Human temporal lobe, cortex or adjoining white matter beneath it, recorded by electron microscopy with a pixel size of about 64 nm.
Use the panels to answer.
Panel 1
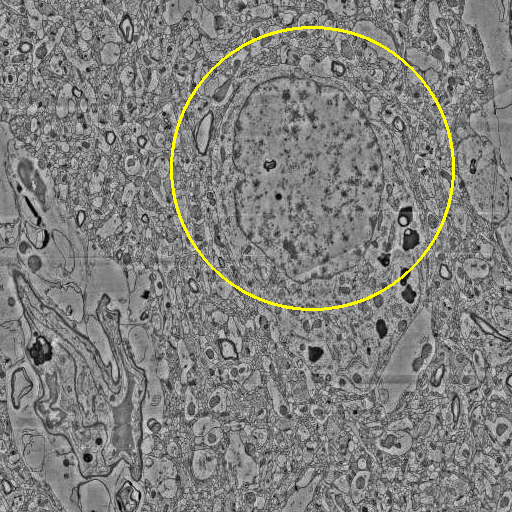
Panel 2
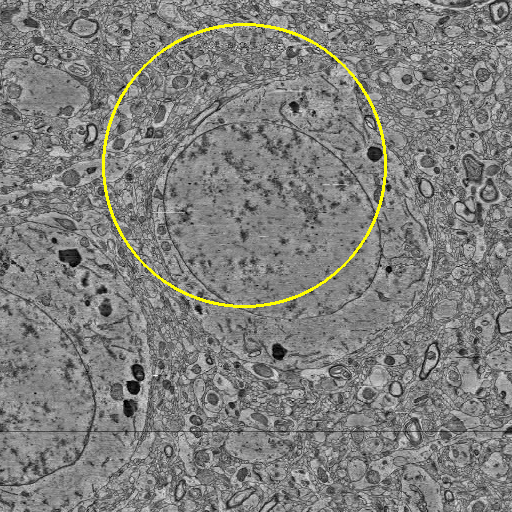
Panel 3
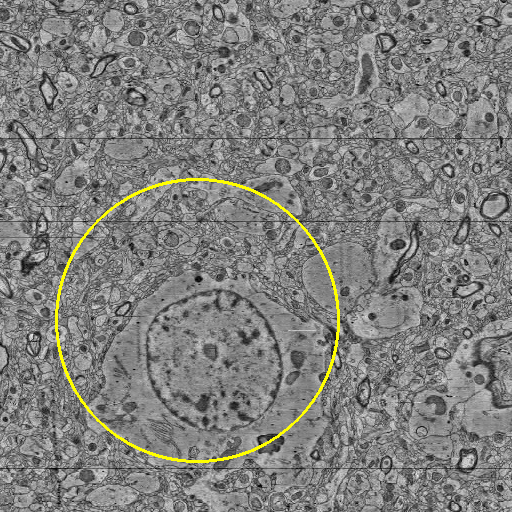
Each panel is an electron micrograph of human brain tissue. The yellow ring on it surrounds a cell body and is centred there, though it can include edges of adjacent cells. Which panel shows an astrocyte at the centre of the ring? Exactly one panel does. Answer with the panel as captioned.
Panel 3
